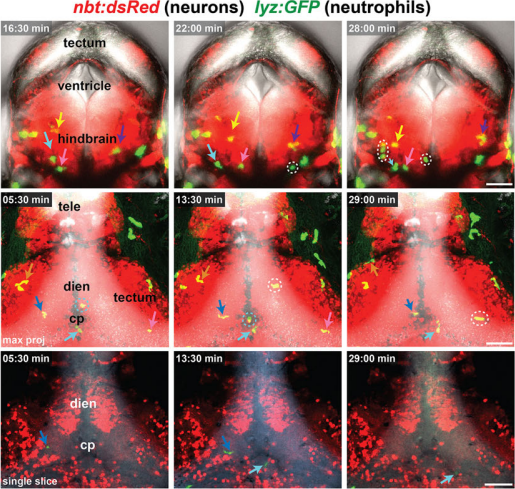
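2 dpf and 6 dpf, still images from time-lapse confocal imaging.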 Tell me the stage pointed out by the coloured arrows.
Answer: Lingering in the parenchyma.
